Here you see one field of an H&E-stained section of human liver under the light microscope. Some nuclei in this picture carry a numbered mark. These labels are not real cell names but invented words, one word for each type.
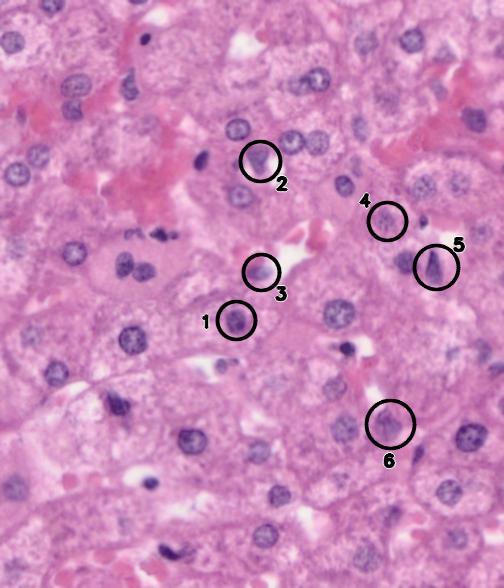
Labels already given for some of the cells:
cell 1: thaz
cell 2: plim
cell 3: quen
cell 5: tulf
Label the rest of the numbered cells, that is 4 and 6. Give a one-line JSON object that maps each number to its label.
{"4": "thaz", "6": "quen"}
